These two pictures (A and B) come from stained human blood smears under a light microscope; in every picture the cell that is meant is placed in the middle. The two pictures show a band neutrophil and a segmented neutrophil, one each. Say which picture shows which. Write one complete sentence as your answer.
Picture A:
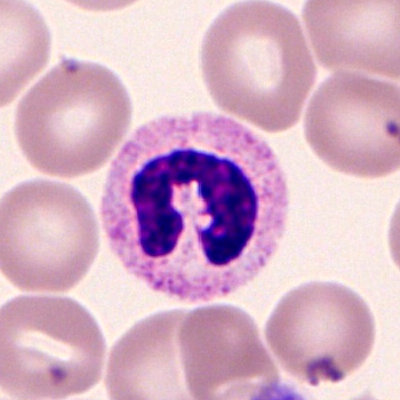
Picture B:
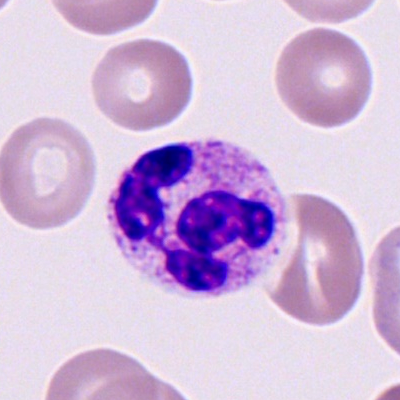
In picture A the cell is a band neutrophil; in picture B, a segmented neutrophil.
